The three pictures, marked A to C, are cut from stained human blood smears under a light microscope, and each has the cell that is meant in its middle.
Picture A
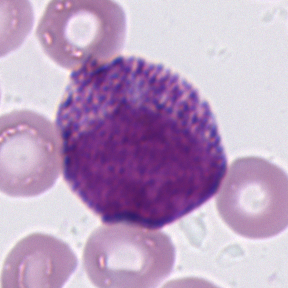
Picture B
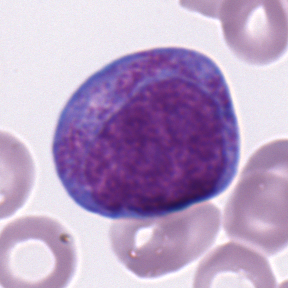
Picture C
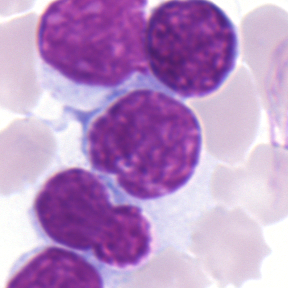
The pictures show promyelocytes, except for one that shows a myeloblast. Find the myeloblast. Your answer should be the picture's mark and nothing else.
C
